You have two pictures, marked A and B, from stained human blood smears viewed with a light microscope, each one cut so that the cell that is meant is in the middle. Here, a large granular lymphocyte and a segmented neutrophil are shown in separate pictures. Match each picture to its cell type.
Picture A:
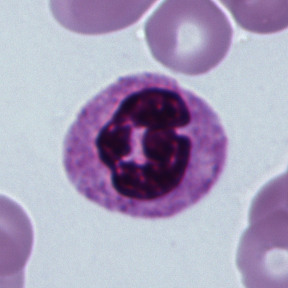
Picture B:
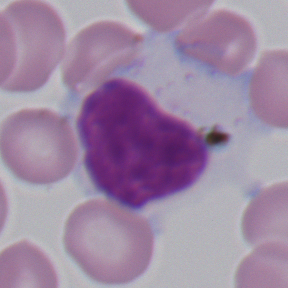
A: segmented neutrophil
B: large granular lymphocyte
